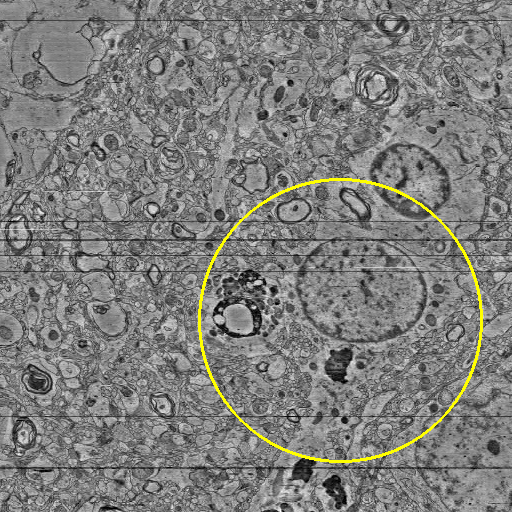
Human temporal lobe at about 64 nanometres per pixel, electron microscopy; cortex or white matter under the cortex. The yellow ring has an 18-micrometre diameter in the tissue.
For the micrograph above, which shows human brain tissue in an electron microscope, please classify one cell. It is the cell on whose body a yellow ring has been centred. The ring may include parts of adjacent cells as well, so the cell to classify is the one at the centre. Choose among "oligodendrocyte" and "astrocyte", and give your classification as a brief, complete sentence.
I classify this cell as an astrocyte.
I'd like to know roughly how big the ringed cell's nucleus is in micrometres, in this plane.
In this plane, approximately 8 by 7 micrometers.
